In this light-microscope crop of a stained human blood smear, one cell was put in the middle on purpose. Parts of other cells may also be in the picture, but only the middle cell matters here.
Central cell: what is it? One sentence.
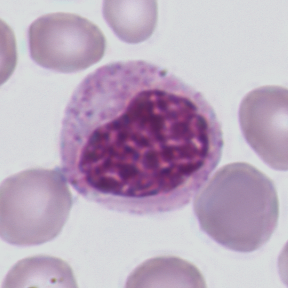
The cell positioned in the middle of the field is a metamyelocyte.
